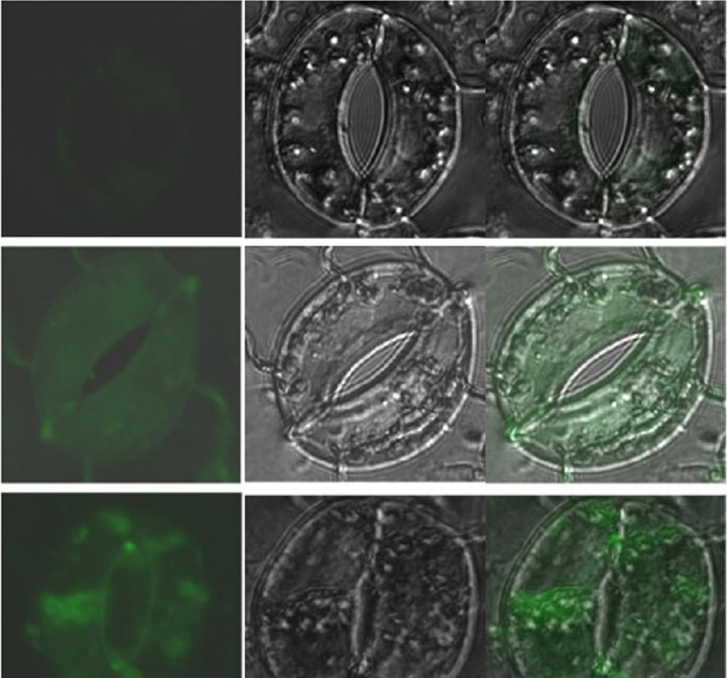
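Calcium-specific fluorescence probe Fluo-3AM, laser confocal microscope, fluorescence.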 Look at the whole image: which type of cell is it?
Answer: Guard cells.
